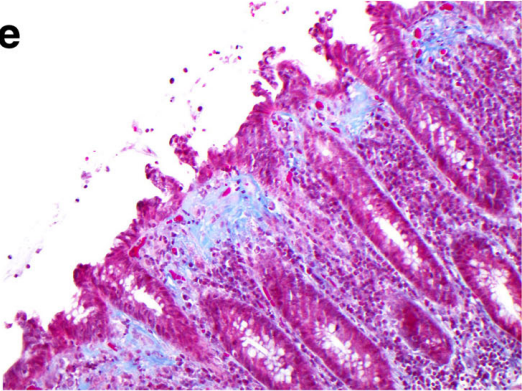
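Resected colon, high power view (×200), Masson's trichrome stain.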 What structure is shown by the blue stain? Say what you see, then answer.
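Blue-stained bands lie directly beneath the surface epithelium. The blue material separates the surface epithelium from the red-stained lamina propria. The answer: thickened subepithelial collagen layer.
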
